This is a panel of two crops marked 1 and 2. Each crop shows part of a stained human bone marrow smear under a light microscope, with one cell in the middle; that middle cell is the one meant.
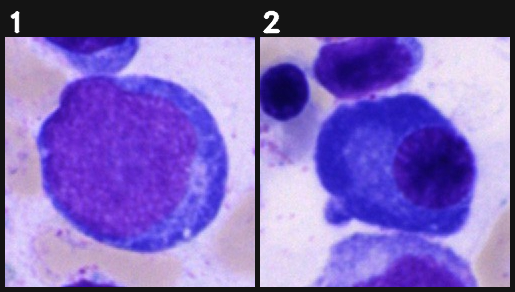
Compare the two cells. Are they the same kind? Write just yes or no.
no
